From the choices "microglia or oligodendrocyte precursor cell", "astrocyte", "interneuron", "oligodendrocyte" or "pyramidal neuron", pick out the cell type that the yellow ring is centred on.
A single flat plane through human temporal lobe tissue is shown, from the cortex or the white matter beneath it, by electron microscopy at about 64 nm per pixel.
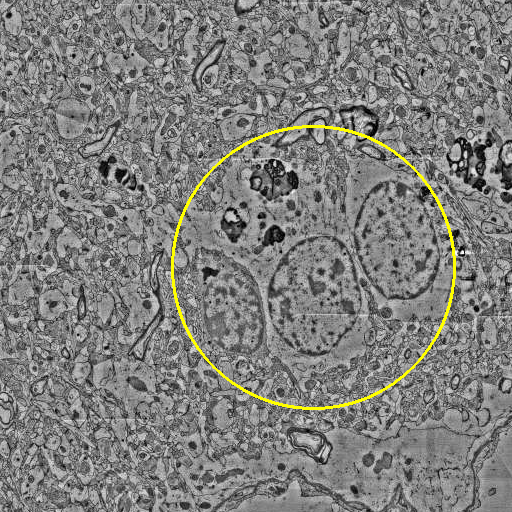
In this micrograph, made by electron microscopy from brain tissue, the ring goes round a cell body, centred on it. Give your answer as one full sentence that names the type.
The yellow ring is centred on an astrocyte, whose cell body it encircles in the picture.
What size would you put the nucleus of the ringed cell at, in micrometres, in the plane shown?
The nucleus measures about 8 by 6 micrometres in this plane.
